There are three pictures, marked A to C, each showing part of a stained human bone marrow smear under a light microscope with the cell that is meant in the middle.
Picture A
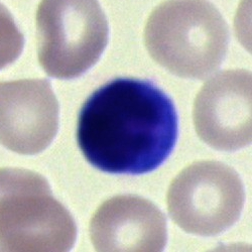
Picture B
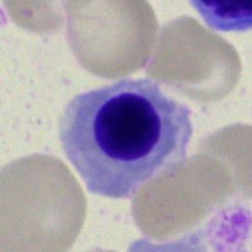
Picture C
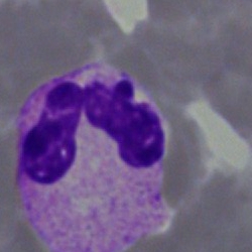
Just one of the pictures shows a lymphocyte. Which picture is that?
A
